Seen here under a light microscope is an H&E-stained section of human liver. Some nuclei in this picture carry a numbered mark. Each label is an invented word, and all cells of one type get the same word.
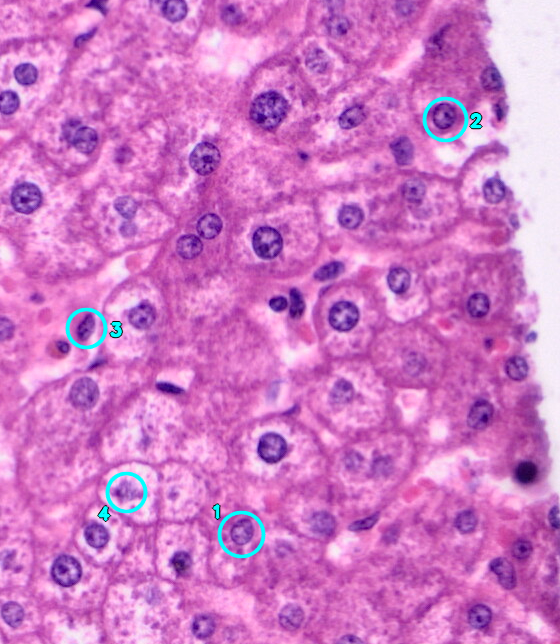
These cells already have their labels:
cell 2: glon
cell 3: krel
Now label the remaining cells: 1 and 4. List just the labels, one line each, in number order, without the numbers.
glon
glon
